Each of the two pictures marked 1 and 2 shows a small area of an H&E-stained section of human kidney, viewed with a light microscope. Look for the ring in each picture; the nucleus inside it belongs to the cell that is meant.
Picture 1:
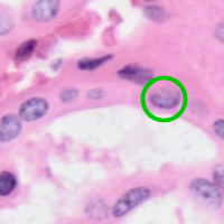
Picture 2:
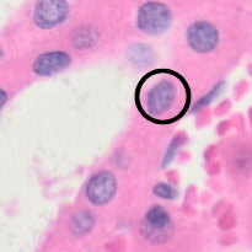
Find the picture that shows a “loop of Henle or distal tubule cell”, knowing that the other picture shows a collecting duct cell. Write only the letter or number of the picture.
2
